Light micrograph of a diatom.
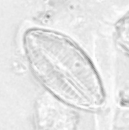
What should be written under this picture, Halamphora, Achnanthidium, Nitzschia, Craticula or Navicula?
Craticula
